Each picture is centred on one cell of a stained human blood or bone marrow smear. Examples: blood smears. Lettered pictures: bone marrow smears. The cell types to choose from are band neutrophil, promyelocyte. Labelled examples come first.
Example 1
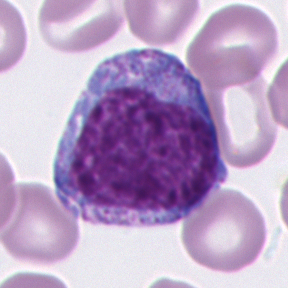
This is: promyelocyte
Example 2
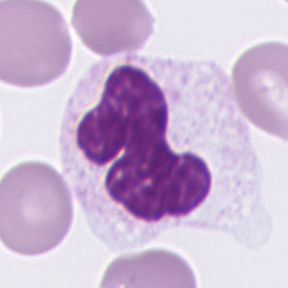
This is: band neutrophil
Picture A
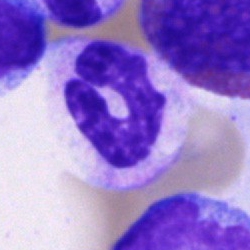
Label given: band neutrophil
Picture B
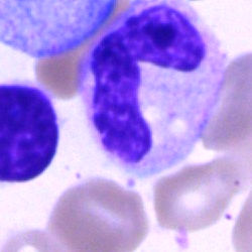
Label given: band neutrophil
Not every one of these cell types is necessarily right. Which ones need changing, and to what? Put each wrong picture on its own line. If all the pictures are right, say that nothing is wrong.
Nothing to fix; every label fits.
